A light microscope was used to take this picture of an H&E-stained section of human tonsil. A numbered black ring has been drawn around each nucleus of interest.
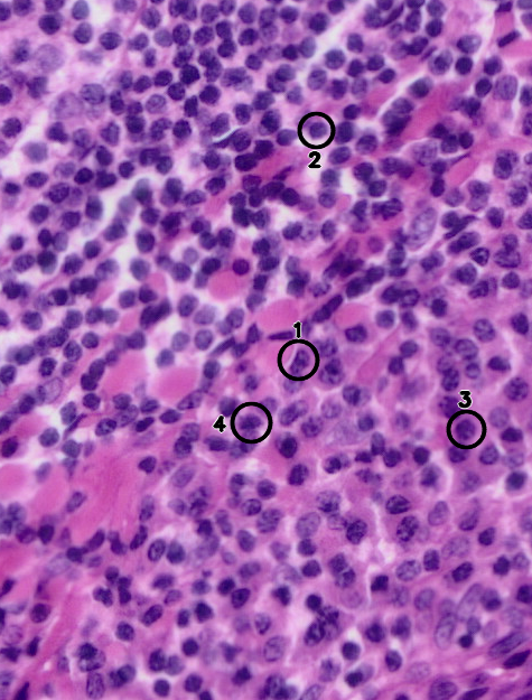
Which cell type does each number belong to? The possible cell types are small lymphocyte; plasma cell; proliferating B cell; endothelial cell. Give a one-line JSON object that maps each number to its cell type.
{"1": "plasma cell", "2": "small lymphocyte", "3": "plasma cell", "4": "plasma cell"}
